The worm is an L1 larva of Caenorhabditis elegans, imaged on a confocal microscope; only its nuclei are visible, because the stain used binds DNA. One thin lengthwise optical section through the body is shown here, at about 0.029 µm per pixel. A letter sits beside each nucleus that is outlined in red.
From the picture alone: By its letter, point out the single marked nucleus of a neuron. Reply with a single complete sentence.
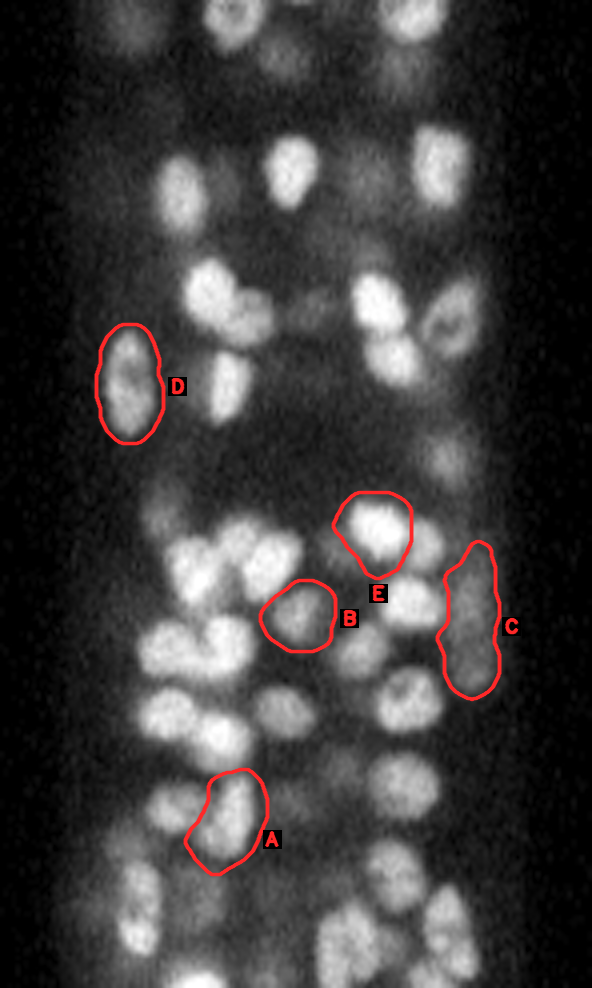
It is B that belongs to a neuron.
